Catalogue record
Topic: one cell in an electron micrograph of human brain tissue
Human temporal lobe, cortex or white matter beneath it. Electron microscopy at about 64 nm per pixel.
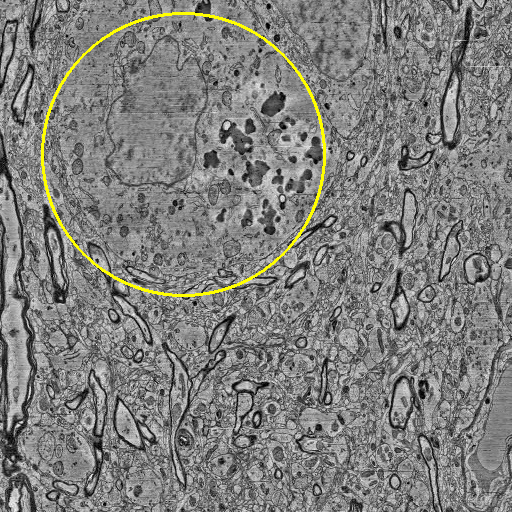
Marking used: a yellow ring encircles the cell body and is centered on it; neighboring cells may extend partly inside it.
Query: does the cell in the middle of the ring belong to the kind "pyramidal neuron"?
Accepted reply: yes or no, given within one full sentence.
Yes, the cell centered in the ring in the picture is of that kind.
